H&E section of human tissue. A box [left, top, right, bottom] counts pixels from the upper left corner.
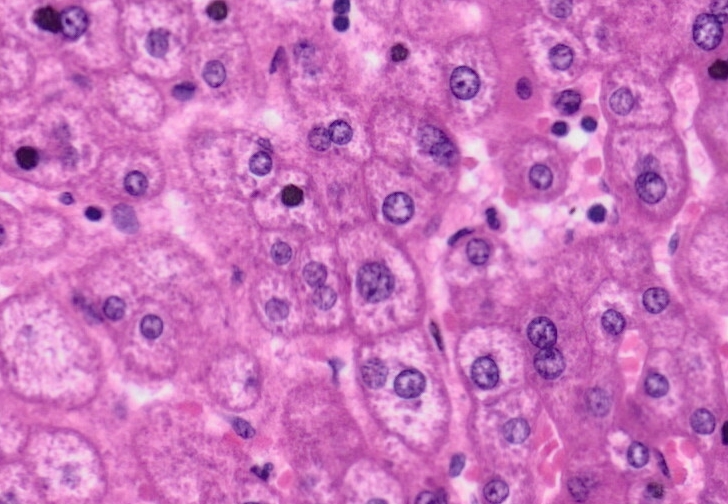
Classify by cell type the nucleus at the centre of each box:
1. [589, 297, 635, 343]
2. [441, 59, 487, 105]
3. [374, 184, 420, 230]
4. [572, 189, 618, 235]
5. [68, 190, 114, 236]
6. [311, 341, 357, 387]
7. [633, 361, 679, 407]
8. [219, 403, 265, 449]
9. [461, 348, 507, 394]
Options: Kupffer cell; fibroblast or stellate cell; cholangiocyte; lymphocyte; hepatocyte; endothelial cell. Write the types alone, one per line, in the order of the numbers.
hepatocyte
hepatocyte
hepatocyte
lymphocyte
lymphocyte
endothelial cell
hepatocyte
Kupffer cell
hepatocyte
